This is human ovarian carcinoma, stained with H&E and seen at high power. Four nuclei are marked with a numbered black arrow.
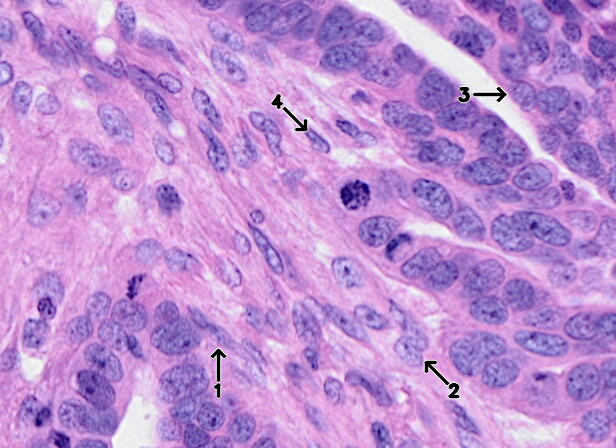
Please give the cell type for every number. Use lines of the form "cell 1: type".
cell 1: fibroblast
cell 2: fibroblast
cell 3: carcinoma cell
cell 4: fibroblast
